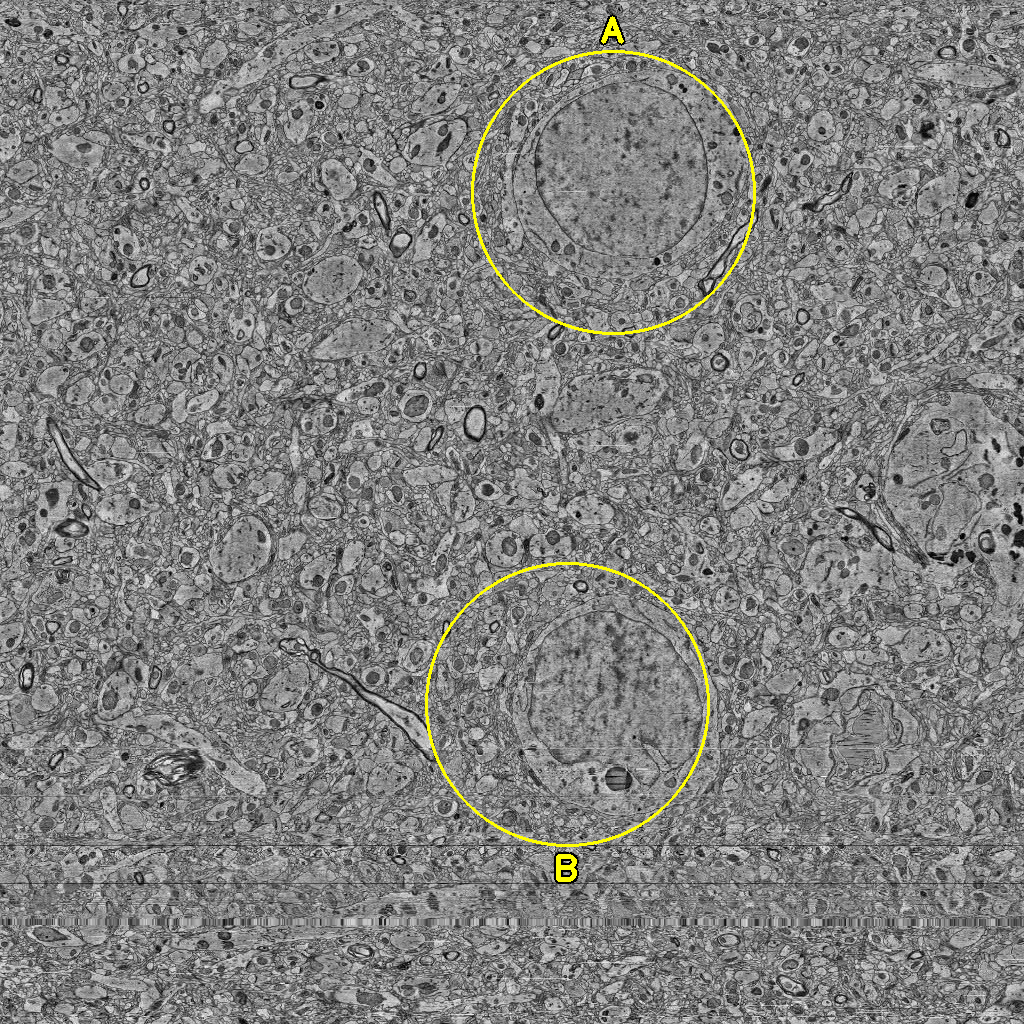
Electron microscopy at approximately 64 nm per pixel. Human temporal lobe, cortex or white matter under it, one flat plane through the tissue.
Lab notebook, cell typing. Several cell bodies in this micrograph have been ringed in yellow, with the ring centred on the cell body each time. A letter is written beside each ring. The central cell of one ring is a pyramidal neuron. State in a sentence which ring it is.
It is ring A.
